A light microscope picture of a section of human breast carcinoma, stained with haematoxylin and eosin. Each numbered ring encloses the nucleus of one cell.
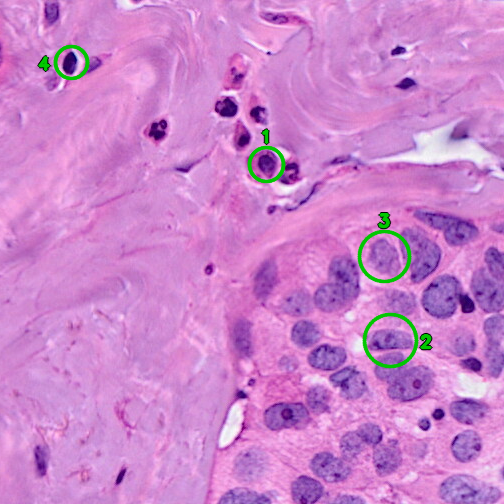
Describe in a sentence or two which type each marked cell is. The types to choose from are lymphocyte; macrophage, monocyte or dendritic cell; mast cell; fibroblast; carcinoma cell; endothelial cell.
Cell 1 is a mast cell. Cells 2 and 3 are carcinoma cells. Cell 4 is a lymphocyte.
